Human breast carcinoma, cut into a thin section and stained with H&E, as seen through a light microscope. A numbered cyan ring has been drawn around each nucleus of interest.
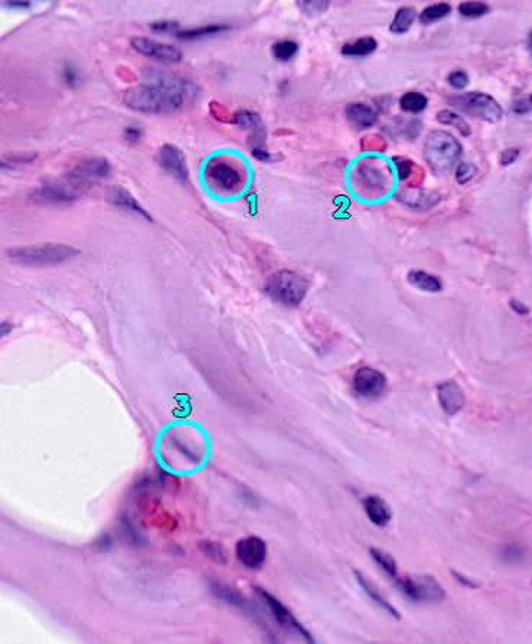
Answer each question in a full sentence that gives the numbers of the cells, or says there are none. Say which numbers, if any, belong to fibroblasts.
The cell marked by number 3 is a fibroblast; the other marked cells are not.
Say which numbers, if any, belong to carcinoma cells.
Among the marked and numbered cells, carcinoma cells do not occur.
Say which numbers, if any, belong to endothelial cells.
Only cell 2 is an endothelial cell; none of the other numbered cells is.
